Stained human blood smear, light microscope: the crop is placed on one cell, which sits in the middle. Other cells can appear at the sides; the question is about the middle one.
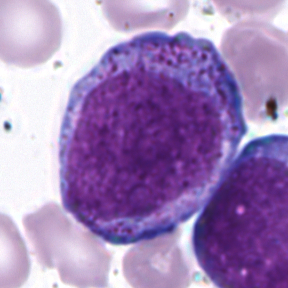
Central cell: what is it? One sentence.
The cell in the middle of the field of view is a promyelocyte.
